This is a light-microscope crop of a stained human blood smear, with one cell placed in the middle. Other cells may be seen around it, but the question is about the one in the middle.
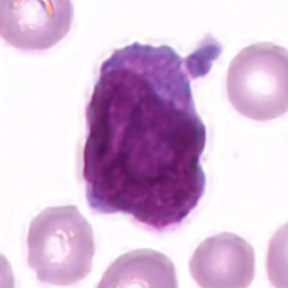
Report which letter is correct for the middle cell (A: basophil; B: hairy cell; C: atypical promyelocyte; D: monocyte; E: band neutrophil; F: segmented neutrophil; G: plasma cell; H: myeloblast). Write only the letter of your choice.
C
